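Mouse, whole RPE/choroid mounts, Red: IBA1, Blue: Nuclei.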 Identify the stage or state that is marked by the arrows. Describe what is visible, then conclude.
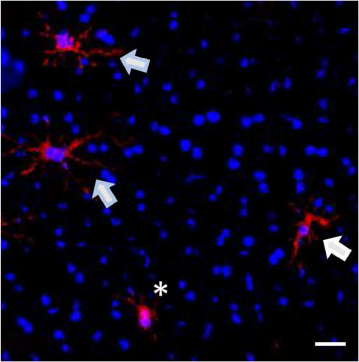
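The marked red cells have a small body with several long, thin branching processes. The processes radiate in several directions from the cell body.
Answer: resting microglia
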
